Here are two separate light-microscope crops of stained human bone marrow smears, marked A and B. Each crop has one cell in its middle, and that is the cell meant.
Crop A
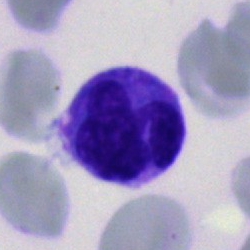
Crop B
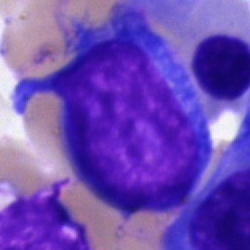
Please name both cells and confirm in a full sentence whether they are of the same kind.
No, crop A contains a monocyte; a blast is what crop B contains.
